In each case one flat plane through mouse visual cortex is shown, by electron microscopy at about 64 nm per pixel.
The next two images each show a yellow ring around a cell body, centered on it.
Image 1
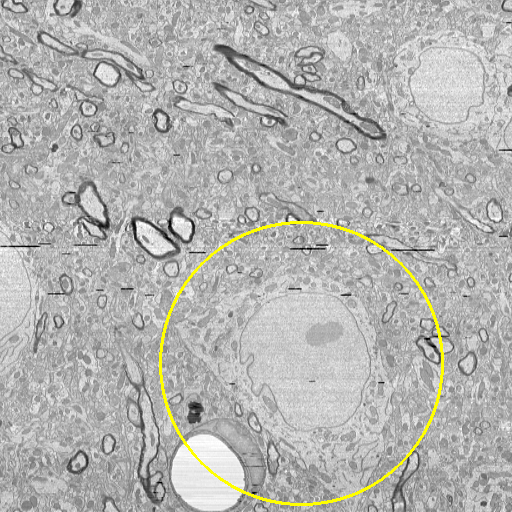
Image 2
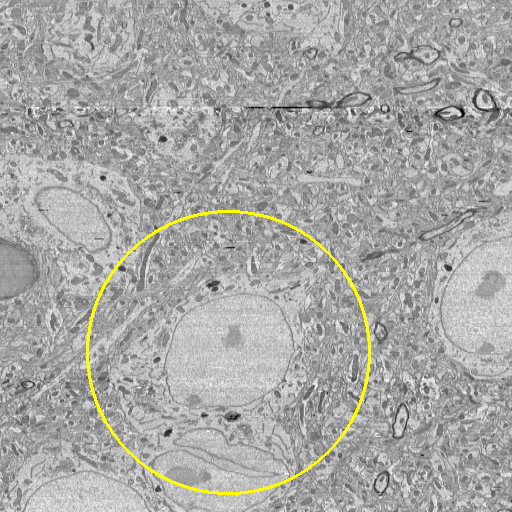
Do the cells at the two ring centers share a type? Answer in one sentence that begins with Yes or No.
Yes, across the two images the cells at the ring centers share one type.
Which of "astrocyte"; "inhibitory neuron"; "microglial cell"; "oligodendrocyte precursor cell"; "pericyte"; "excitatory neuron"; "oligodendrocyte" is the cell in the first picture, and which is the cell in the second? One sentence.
Each cell at the centre of a ring is an excitatory neuron.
